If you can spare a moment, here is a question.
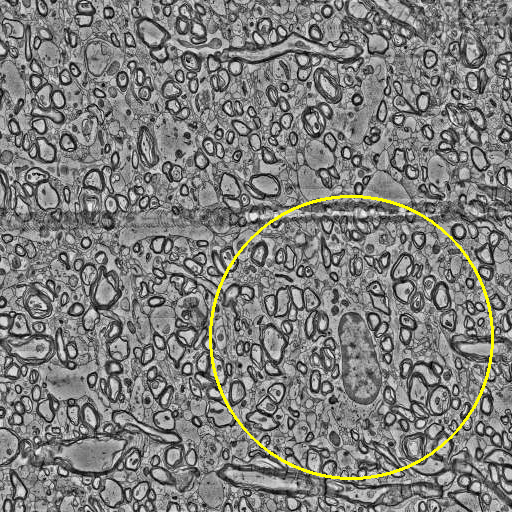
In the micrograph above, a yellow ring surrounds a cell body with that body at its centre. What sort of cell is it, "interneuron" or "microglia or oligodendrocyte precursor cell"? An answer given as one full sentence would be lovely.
Centred inside the yellow ring, the cell body shown belongs to a microglial cell or oligodendrocyte precursor cell in this micrograph.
